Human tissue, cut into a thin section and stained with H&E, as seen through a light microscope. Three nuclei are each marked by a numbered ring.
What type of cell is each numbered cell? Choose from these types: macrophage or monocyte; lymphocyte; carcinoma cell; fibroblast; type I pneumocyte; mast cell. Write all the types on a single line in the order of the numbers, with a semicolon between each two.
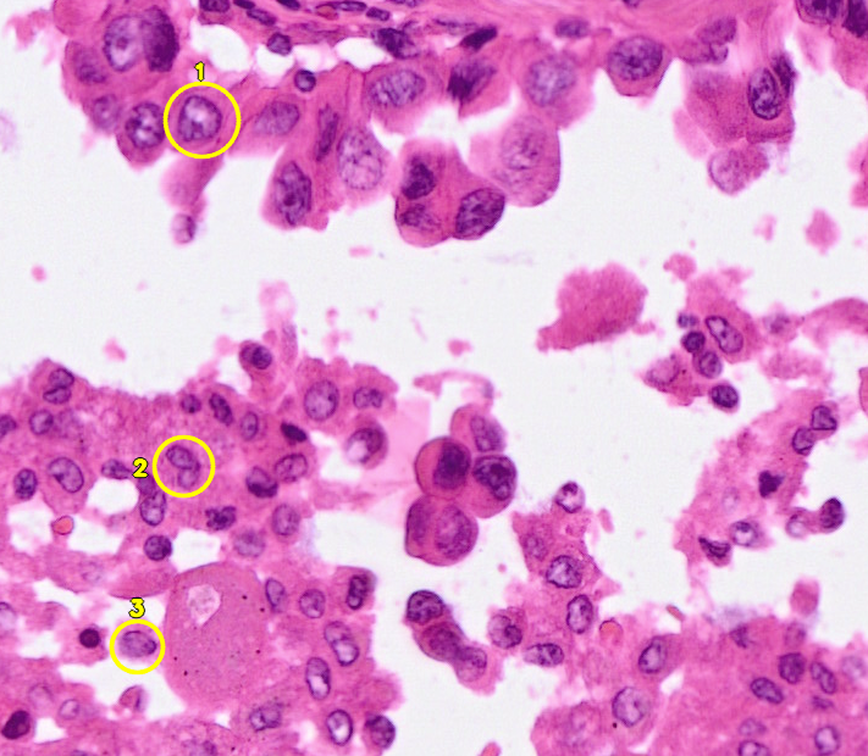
carcinoma cell; macrophage or monocyte; macrophage or monocyte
